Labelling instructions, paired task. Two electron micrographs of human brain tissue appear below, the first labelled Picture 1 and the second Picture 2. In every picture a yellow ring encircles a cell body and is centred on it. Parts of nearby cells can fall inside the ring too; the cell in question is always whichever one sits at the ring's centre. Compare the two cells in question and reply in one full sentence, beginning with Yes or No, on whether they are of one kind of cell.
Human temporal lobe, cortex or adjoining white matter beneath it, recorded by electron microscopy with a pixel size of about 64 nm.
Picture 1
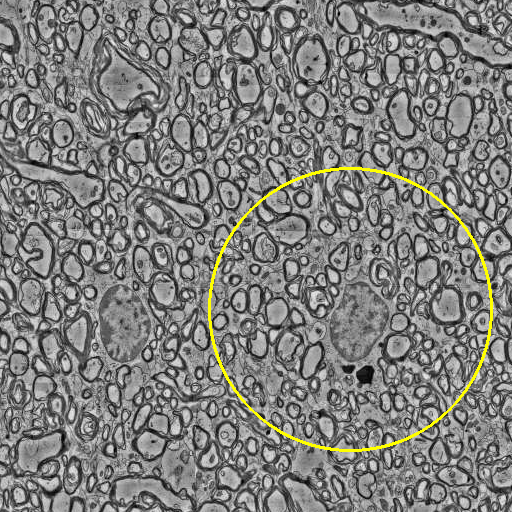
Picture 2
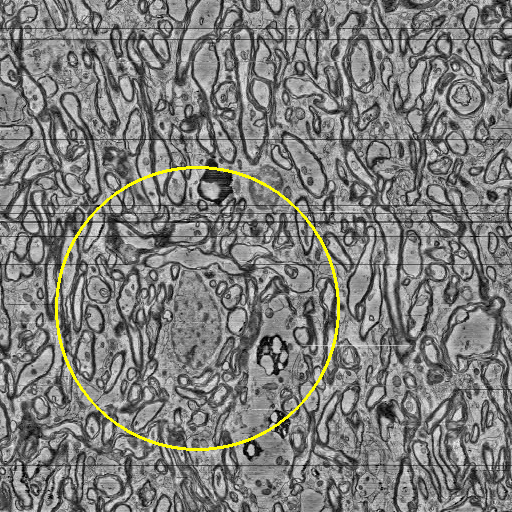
No, the two cells at the ring centres in Picture 1 and Picture 2 are of two kinds.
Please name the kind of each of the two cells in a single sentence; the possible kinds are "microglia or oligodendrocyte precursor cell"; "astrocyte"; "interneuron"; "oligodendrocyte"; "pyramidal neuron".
In the first picture the ring is centred on an oligodendrocyte, and in the second on an astrocyte.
